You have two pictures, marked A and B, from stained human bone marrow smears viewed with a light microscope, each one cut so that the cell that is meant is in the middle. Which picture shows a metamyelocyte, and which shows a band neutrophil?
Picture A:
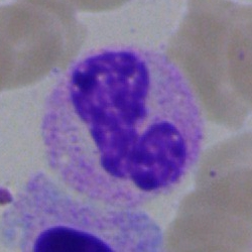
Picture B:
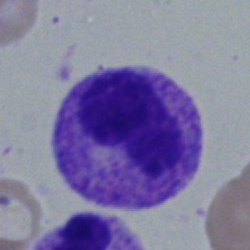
A: band neutrophil
B: metamyelocyte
